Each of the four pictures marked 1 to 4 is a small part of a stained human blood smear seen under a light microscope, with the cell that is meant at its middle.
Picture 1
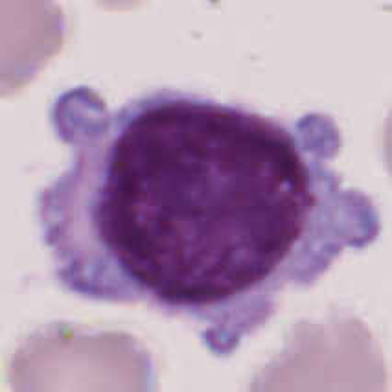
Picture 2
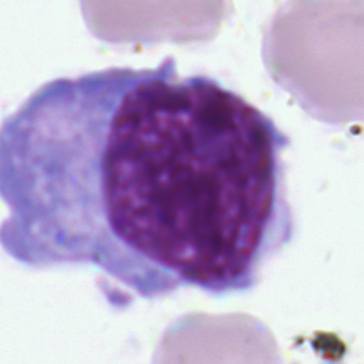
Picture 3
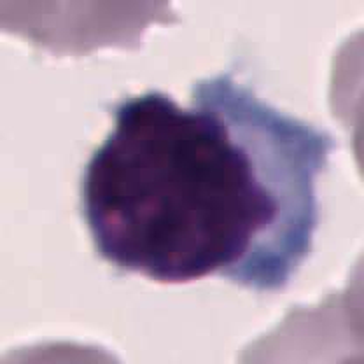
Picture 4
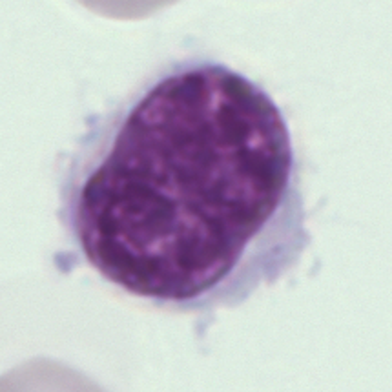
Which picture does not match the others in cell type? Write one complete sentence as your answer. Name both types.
The others show plasma cells, but picture 3 shows a hairy cell.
